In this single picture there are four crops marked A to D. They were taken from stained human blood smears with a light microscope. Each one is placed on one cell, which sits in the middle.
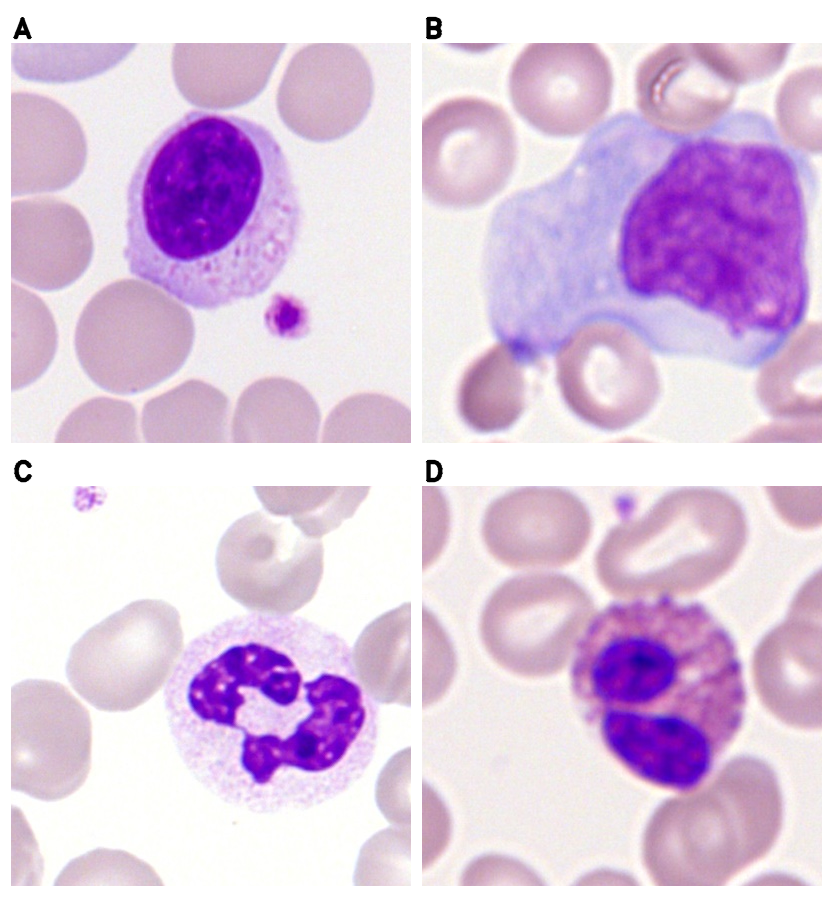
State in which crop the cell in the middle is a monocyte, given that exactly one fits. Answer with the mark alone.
B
